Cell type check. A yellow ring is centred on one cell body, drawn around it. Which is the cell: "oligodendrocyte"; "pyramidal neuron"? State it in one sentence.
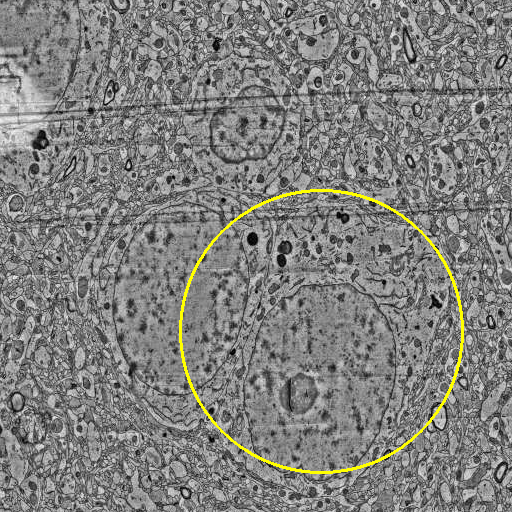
The cell body at the ring's centre belongs to a pyramidal neuron.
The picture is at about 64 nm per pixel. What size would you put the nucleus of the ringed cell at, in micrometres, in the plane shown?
The ringed cell's nucleus measures approximately 13 by 10 micrometres in this plane.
